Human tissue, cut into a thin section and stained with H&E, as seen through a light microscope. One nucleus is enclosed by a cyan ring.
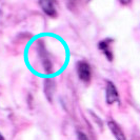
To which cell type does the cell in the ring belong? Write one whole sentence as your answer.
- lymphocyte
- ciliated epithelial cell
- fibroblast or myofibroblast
Speaking plainly, the cell in the ring is nothing other than a fibroblast or myofibroblast.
